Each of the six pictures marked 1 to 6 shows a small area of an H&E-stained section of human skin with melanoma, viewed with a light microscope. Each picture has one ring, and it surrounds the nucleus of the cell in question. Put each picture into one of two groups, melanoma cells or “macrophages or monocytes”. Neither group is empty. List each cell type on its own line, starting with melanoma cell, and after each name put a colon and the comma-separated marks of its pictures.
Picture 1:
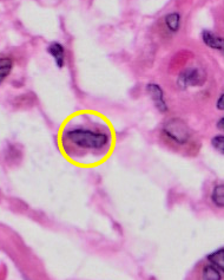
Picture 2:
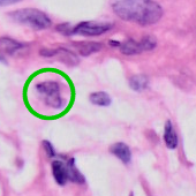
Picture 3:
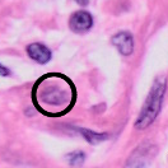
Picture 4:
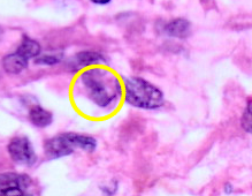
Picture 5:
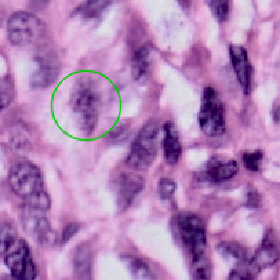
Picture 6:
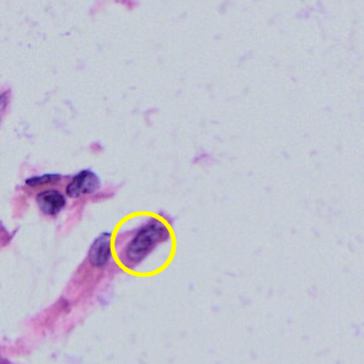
melanoma cell: 4, 5, 6
macrophage or monocyte: 1, 2, 3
